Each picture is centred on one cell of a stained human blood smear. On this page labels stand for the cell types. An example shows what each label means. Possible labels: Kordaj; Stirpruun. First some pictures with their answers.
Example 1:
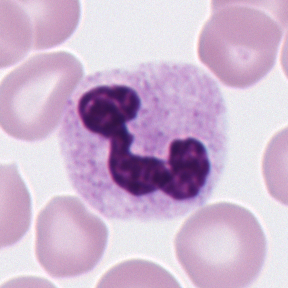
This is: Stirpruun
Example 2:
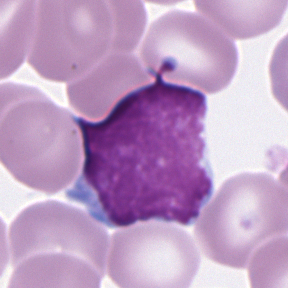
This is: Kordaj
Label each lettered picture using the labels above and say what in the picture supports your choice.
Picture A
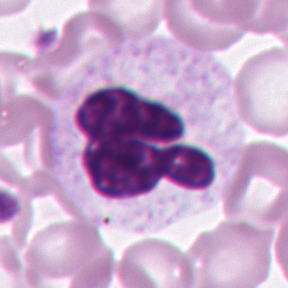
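Label: Stirpruun. The cytoplasm is abundant and very pale.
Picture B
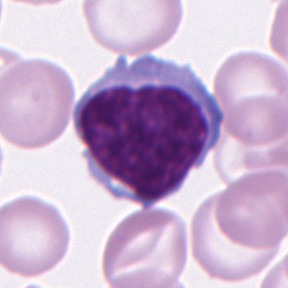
Label: Kordaj. The cytoplasm is a narrow rim of pale blue.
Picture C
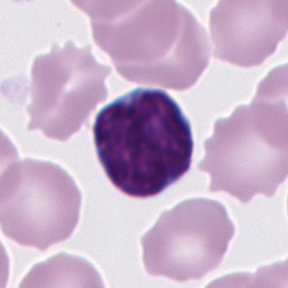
Label: Kordaj. The cytoplasm shows only as a very thin rim at the edge of the cell.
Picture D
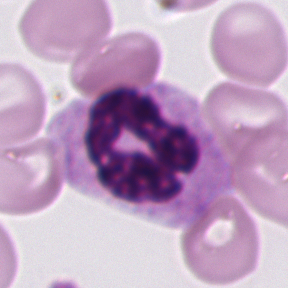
Label: Stirpruun. The nucleus is a lumpy band curled into a ring around a pale central hole.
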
